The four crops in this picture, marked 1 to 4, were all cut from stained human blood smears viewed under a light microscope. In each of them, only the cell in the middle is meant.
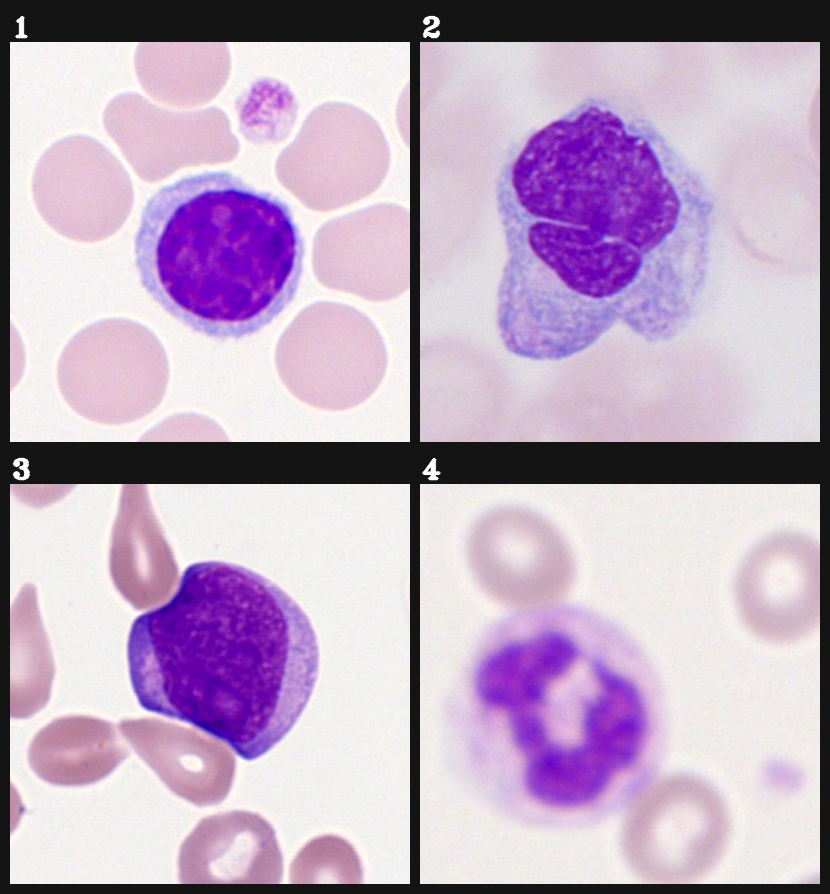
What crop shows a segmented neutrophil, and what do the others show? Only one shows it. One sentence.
The middle of crop 4 holds a segmented neutrophil, while crop 1 is a lymphocyte, crop 2 is a monocyte and crop 3 is a myeloblast.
